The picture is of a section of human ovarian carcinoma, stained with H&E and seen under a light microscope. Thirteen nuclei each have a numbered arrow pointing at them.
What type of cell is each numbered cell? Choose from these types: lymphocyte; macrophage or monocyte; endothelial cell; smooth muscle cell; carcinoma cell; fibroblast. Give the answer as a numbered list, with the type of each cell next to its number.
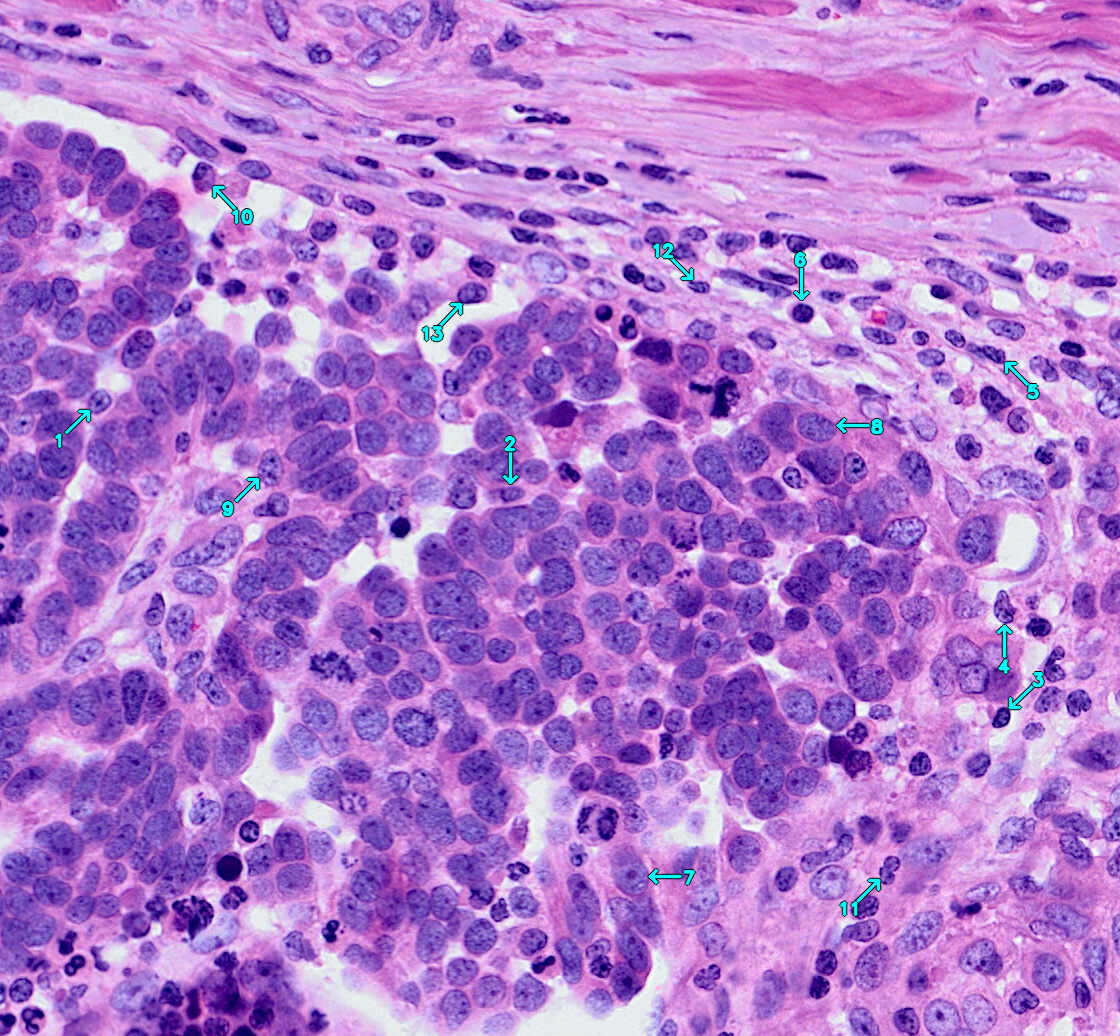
1. macrophage or monocyte
2. macrophage or monocyte
3. lymphocyte
4. macrophage or monocyte
5. lymphocyte
6. lymphocyte
7. carcinoma cell
8. carcinoma cell
9. macrophage or monocyte
10. macrophage or monocyte
11. lymphocyte
12. lymphocyte
13. macrophage or monocyte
